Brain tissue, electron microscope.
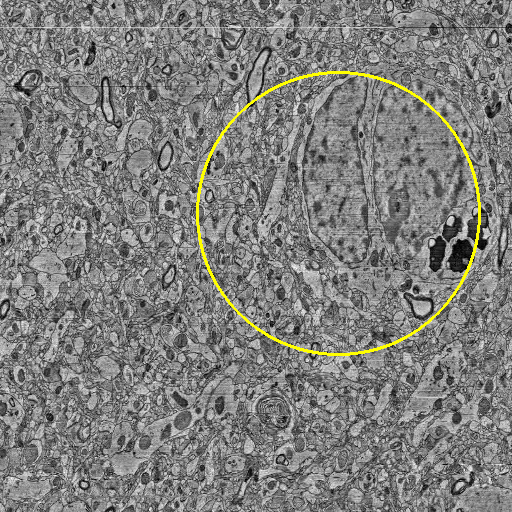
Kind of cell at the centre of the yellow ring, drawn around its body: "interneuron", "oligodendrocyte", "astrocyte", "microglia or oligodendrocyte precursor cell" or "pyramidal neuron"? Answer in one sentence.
The ring's centre falls on a microglial cell or oligodendrocyte precursor cell.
